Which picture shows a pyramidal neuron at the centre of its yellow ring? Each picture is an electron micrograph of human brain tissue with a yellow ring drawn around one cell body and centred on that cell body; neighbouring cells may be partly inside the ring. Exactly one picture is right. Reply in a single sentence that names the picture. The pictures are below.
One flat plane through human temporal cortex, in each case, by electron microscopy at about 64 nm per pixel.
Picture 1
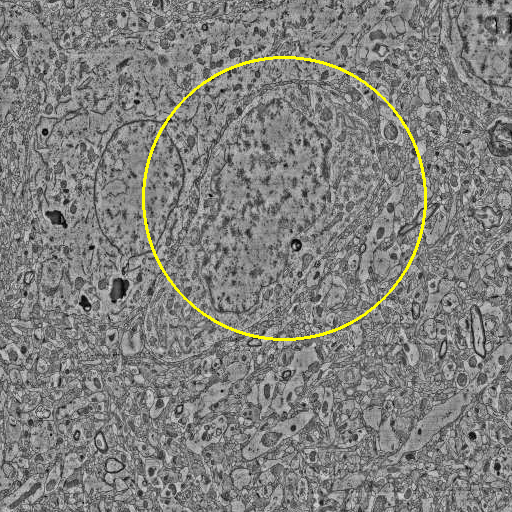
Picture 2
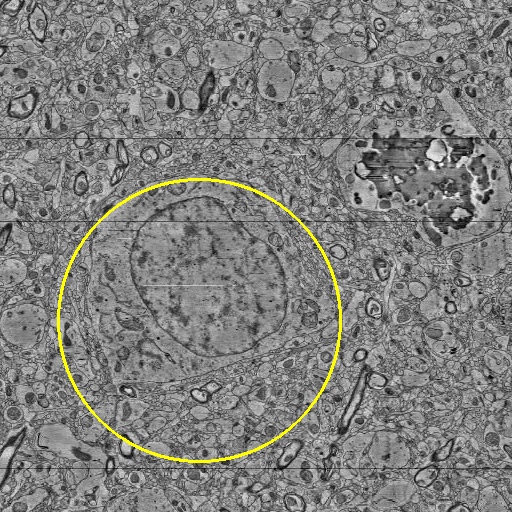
Picture 2 shows it.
